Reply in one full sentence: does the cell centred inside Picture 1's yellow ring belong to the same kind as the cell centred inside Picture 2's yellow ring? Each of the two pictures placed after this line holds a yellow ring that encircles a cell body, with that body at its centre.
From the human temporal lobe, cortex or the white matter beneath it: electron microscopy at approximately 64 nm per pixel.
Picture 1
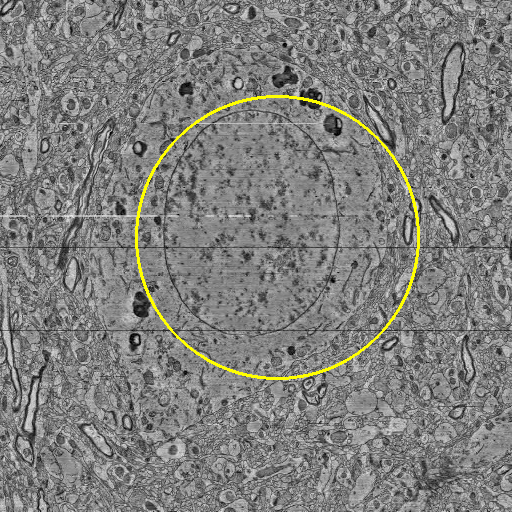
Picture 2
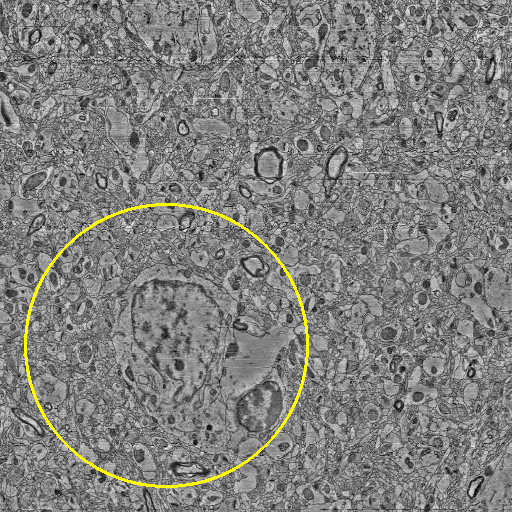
No, the ring-centred cells in Picture 1 and Picture 2 are of two separate kinds.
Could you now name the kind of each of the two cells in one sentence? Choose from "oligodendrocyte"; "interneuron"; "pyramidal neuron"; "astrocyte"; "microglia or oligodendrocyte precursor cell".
The first ring encloses a pyramidal neuron; the second ring encloses an interneuron.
